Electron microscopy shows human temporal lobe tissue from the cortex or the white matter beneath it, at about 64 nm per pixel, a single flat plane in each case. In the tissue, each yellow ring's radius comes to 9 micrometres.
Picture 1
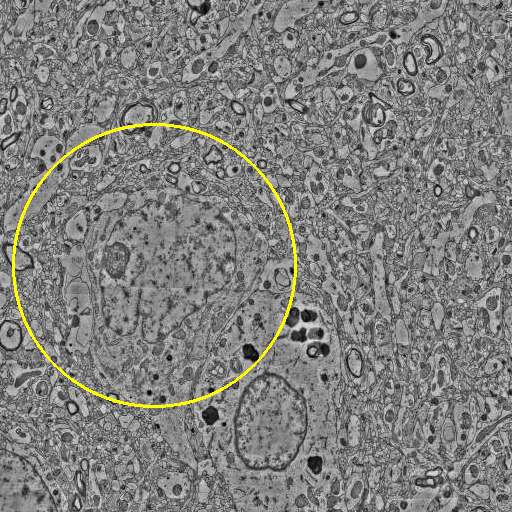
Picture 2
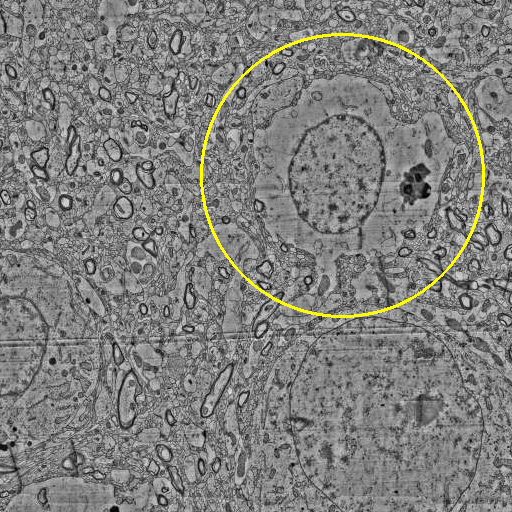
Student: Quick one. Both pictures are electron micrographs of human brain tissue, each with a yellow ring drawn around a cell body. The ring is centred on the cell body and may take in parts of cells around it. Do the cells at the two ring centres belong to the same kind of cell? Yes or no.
no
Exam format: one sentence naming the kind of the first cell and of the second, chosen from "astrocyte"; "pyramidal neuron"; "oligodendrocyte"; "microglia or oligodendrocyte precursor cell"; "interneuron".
The first picture's cell is an interneuron, and the second picture's cell is an astrocyte.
